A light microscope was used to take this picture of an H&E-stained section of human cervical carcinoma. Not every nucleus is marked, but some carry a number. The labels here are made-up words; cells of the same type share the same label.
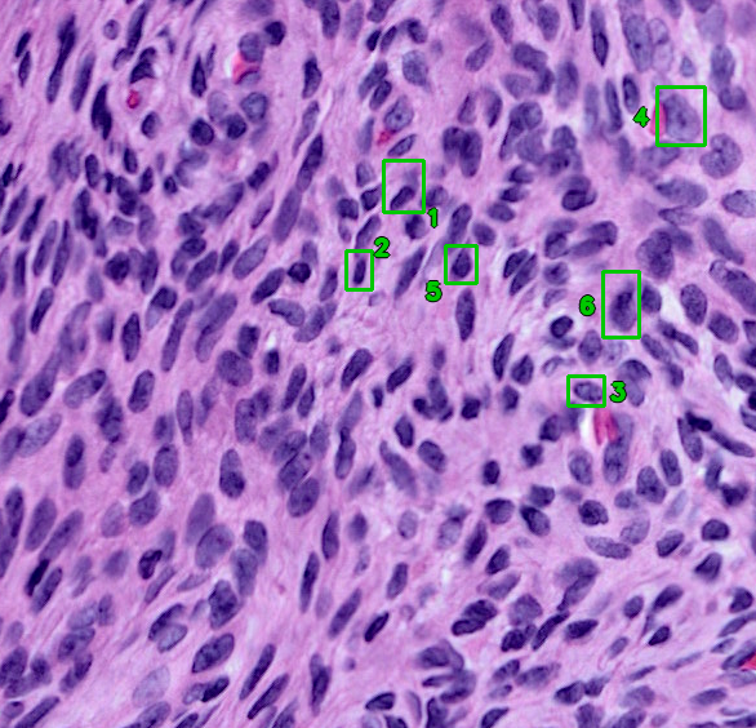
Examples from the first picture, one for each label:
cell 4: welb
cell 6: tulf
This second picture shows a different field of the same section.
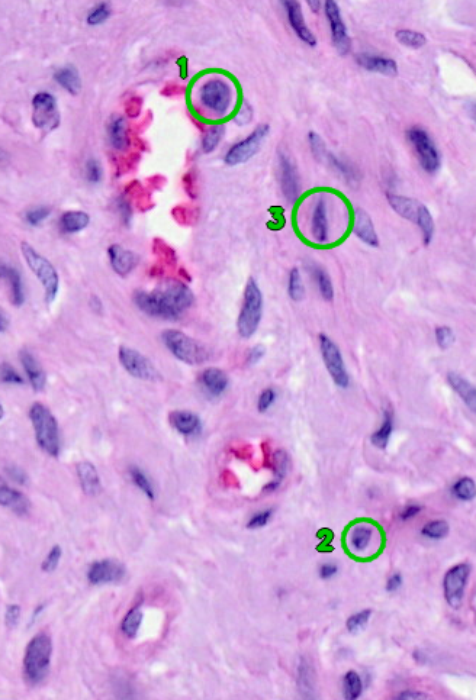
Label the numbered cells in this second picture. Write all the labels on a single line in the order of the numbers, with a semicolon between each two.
welb; tulf; tulf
